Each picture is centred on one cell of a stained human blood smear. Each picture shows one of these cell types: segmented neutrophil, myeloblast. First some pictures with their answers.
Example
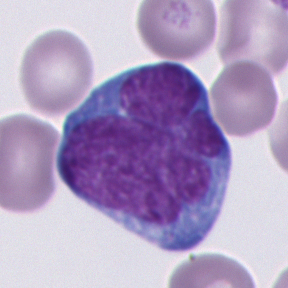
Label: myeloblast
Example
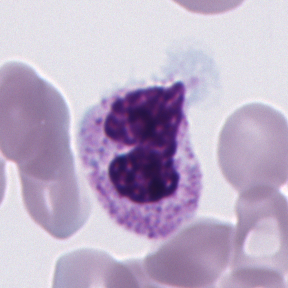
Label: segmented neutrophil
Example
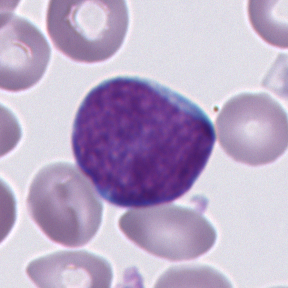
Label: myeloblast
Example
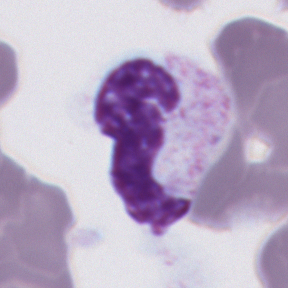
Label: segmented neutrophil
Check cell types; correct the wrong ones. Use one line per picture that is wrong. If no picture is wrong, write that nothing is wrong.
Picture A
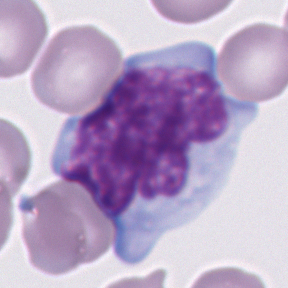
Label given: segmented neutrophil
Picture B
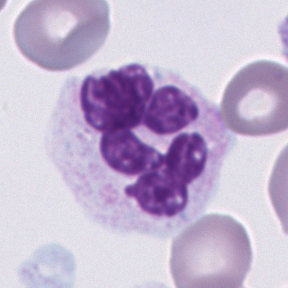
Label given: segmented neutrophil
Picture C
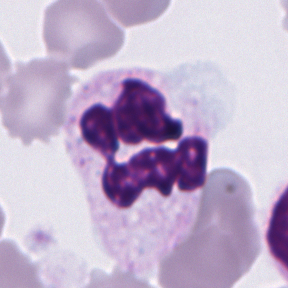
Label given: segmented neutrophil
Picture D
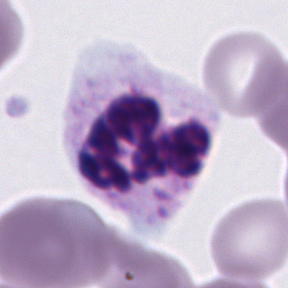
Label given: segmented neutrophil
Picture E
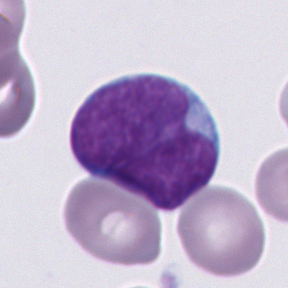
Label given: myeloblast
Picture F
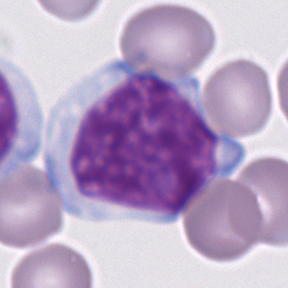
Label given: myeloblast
Wrong: A (segmented neutrophil); correct: myeloblast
